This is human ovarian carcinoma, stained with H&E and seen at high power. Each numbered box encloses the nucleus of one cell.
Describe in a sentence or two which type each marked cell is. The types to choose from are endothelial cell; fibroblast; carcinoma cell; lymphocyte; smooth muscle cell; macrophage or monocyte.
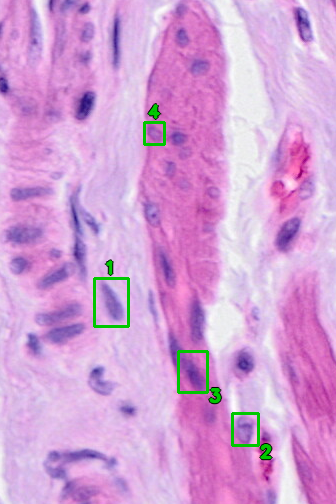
Cell 1 is a fibroblast. Cell 2 is an endothelial cell. Cells 3 and 4 are smooth muscle cells.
